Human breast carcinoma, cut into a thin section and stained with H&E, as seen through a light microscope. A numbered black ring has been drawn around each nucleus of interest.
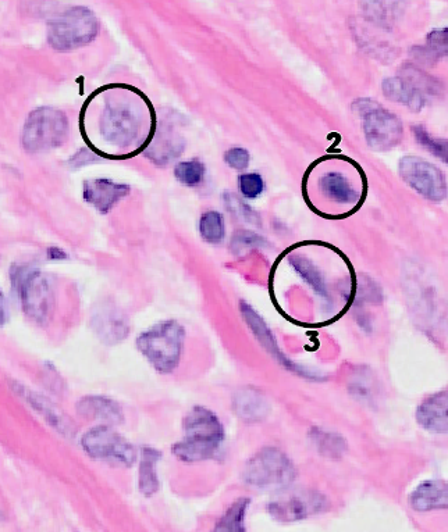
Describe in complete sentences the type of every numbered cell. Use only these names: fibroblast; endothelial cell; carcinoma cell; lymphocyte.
Cell 1 is a carcinoma cell. Cell 2 is a lymphocyte. Cell 3 is an endothelial cell.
